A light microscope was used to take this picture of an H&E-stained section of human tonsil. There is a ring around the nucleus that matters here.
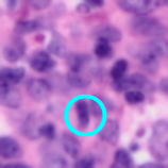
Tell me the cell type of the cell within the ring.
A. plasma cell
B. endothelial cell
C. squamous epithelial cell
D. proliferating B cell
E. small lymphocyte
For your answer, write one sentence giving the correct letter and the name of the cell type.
Here the correct option is D, since the cell within the ring is a proliferating B cell.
